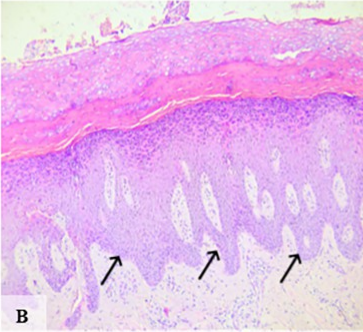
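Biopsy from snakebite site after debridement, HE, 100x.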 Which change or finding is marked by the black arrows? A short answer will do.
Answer: Severe irregular acanthosis.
